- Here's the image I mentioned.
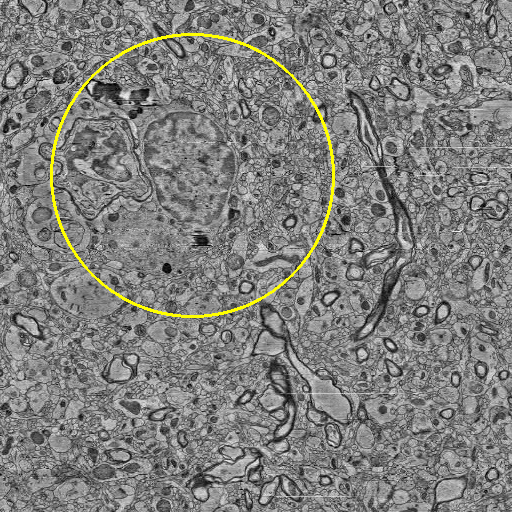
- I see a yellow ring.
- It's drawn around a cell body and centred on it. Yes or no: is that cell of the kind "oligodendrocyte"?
yes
